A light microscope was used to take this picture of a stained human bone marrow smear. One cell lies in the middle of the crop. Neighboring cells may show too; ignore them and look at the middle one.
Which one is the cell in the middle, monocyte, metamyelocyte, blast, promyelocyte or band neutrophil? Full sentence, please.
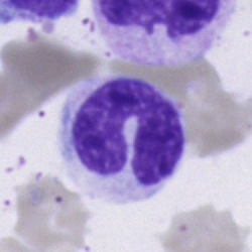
Positioned in the middle of the crop is a band neutrophil.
